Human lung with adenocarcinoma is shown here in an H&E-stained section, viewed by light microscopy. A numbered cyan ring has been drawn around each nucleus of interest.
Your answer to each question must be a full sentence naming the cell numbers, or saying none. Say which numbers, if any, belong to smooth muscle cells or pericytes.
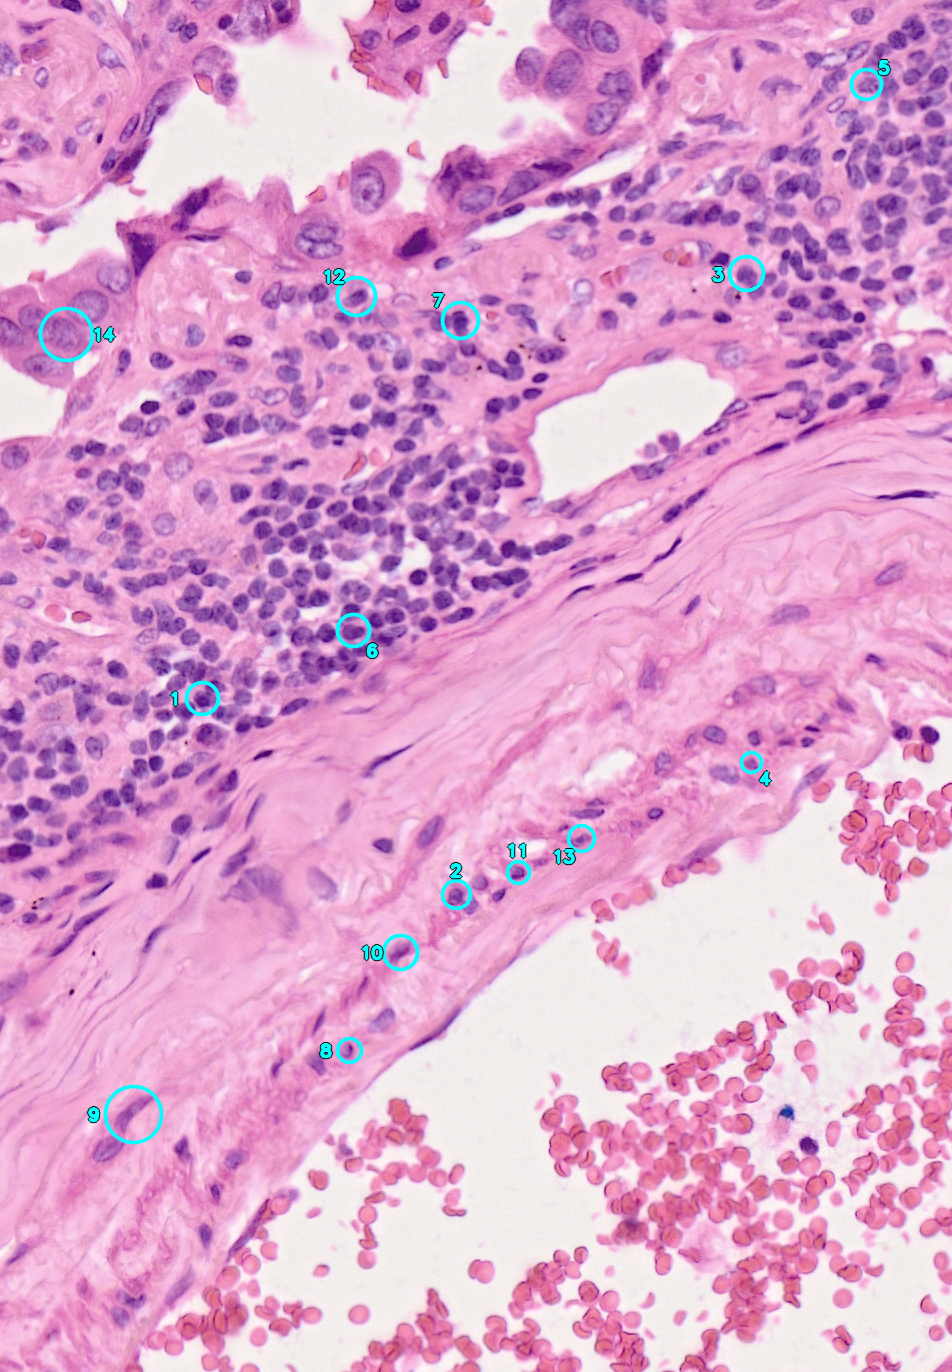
The cells whose numbers are 2, 4, 8, 9, 10, 11 and 13 are smooth muscle cells or pericytes.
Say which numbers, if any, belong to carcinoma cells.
In short, cell 14 is a carcinoma cell; the others are not.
